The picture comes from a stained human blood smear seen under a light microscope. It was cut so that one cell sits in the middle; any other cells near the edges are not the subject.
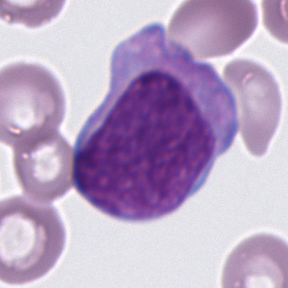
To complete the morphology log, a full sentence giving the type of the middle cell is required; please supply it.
The centrally positioned cell in the crop represents an atypical promyelocyte.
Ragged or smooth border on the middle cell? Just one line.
The edge is uneven, and this unevenness takes the form of ragged stretches or projections.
